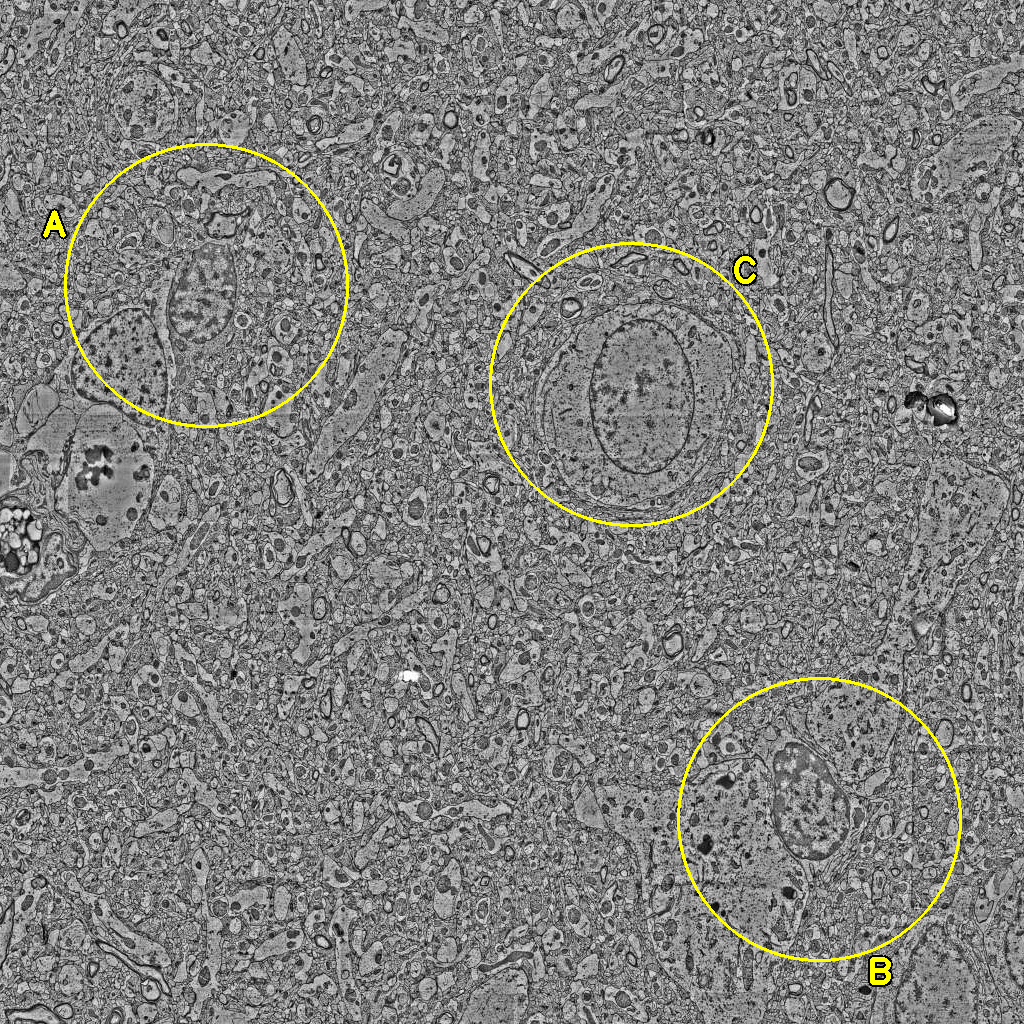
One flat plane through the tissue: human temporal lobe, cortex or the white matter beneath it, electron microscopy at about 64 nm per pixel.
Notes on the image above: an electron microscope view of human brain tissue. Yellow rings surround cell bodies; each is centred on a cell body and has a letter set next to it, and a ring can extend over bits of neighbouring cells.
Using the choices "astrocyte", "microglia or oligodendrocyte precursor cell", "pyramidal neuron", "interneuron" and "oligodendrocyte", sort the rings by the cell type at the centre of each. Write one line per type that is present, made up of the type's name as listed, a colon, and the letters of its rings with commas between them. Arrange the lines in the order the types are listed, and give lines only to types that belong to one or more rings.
microglia or oligodendrocyte precursor cell: B
pyramidal neuron: C
oligodendrocyte: A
